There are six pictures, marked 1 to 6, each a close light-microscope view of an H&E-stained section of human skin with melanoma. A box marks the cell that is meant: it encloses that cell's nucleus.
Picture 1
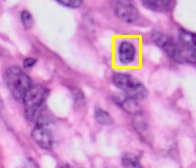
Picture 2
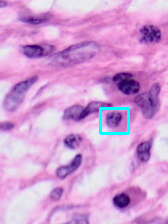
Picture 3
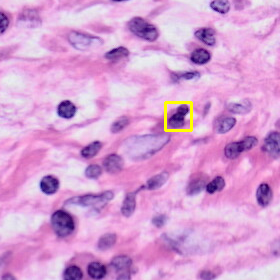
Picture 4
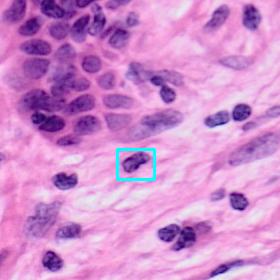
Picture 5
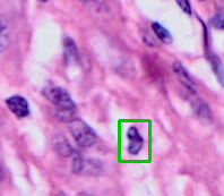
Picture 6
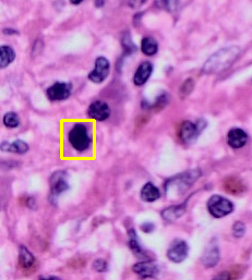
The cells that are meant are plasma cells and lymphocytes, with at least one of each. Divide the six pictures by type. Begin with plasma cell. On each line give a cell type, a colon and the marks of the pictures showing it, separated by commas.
plasma cell: 2, 3, 6
lymphocyte: 1, 4, 5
